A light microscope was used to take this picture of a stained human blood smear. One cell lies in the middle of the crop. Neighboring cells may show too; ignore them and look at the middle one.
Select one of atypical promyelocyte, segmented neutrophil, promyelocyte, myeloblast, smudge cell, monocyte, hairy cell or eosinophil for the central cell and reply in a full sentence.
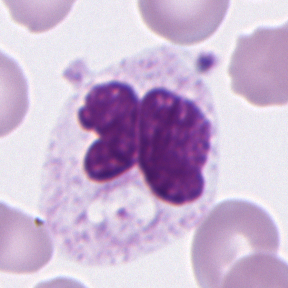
Located at the centre of the crop is a segmented neutrophil.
